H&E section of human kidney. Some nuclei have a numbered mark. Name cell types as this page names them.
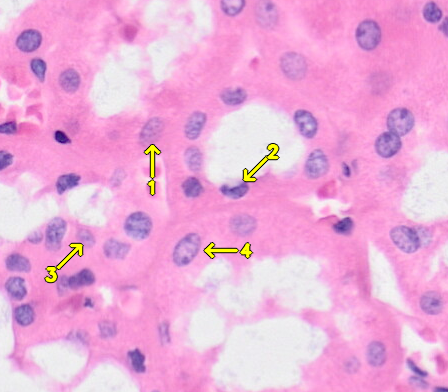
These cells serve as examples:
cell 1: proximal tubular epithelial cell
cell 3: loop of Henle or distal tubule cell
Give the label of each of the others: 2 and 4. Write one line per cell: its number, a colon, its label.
2: loop of Henle or distal tubule cell
4: proximal tubular epithelial cell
